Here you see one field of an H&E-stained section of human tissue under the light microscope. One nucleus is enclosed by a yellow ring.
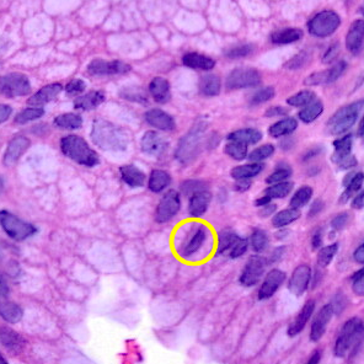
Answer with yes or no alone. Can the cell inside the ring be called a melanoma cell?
no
